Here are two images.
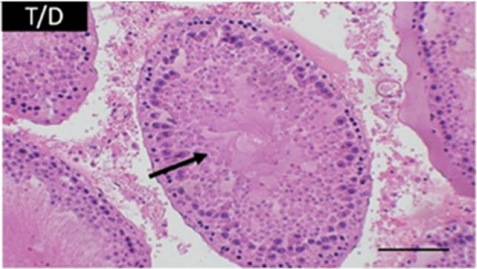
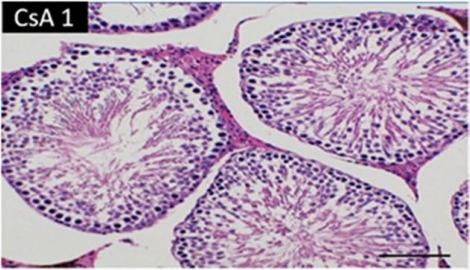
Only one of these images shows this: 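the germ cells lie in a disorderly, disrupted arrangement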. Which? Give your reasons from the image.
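The first image. Second image: tubules show ordered layers of germ cells from the wall toward an open lumen with tails. First image: the tubule is filled with crowded cells and a pale pink amorphous centre, with no clear layering.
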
